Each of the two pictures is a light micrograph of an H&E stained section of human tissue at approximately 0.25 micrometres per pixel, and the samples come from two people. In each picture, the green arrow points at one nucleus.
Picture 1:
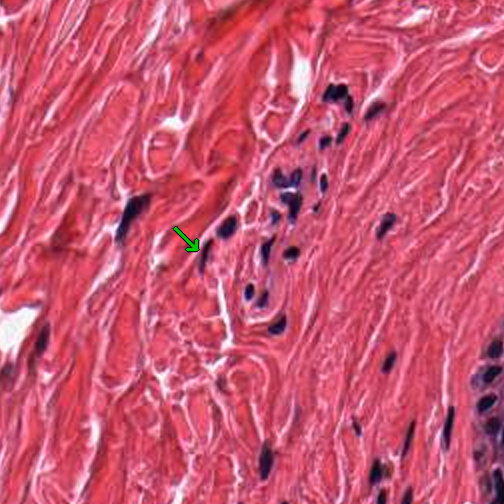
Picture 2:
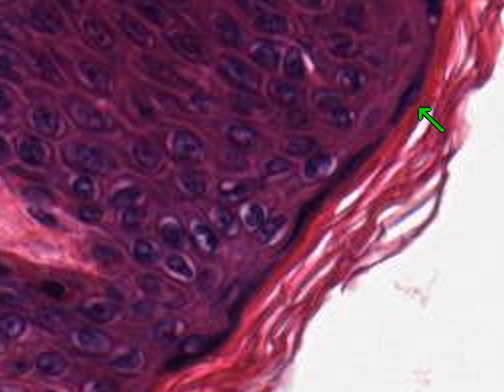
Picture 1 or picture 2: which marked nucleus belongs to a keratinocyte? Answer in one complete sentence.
Picture 2 marks the nucleus of a keratinocyte, whereas the other picture does not.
